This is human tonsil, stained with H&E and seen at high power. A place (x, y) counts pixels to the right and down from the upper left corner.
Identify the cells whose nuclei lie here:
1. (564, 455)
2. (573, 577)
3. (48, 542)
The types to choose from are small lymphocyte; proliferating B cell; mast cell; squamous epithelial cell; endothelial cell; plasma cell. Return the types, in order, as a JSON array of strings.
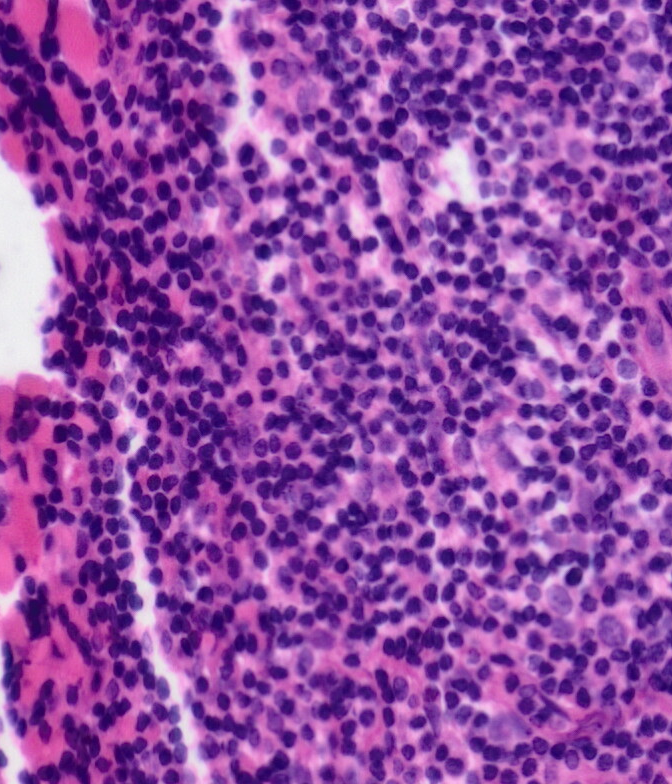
["small lymphocyte", "small lymphocyte", "endothelial cell"]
